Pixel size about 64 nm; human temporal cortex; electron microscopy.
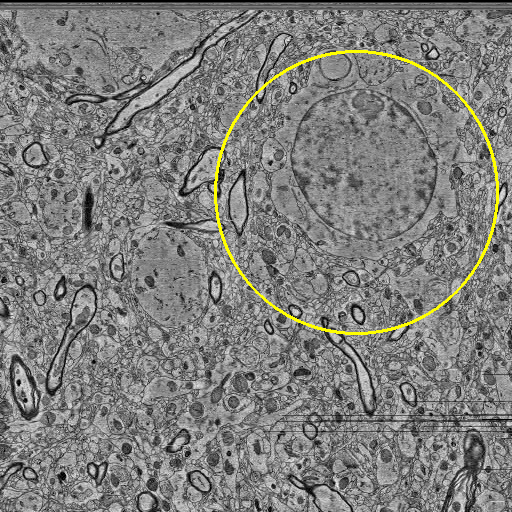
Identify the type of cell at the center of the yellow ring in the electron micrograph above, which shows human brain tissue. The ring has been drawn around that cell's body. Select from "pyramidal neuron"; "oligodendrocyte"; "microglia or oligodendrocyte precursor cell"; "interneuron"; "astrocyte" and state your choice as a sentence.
The yellow ring is centered on the body of an astrocyte.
